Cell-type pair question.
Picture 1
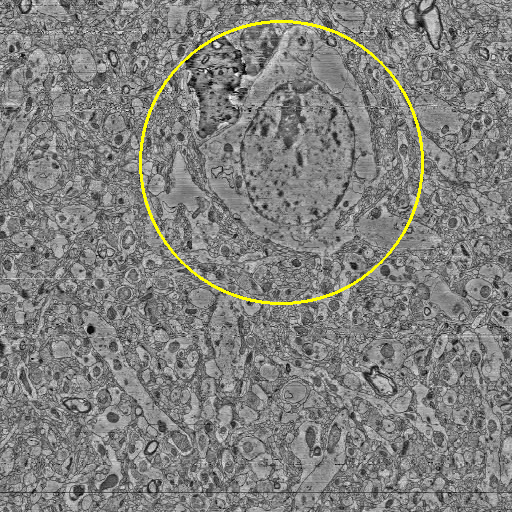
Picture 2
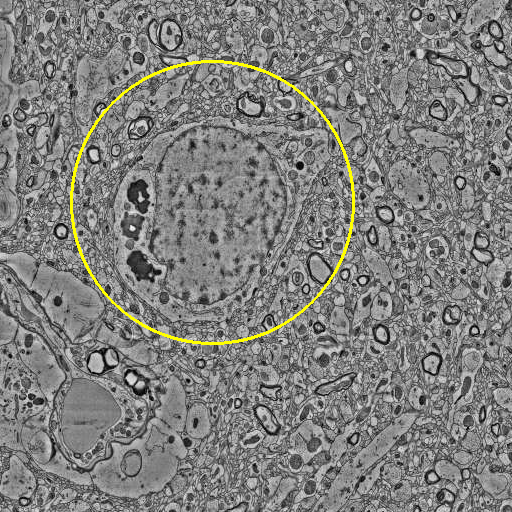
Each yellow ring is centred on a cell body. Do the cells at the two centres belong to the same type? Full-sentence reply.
No, the two cells belong to two types.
